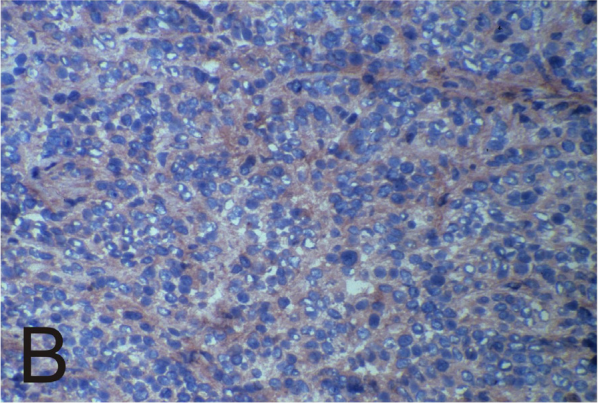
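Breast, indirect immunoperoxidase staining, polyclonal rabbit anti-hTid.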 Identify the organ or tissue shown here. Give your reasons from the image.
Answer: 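A dense, solid sheet of crowded epithelial cells with no normal glandular architecture. Nuclei are enlarged and vary in size and shape.
Answer: tumor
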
